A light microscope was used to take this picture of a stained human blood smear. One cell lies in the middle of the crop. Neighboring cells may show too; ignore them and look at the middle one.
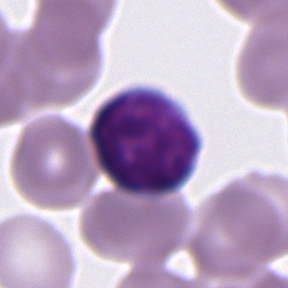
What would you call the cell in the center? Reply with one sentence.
Present in the middle of the crop is a lymphocyte.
